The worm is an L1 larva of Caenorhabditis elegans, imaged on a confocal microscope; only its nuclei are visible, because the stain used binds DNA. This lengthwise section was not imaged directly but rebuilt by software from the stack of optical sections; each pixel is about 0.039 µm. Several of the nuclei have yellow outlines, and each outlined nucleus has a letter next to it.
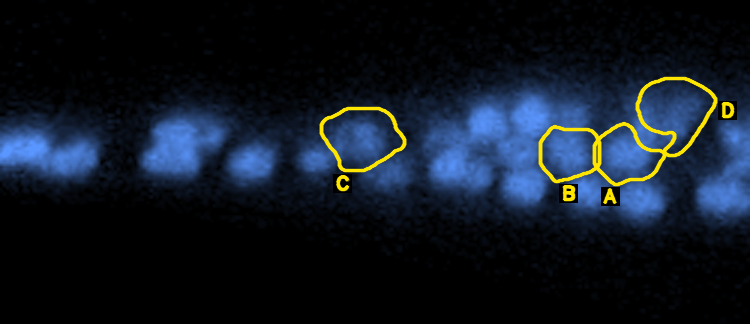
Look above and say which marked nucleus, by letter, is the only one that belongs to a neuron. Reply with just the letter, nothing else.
B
